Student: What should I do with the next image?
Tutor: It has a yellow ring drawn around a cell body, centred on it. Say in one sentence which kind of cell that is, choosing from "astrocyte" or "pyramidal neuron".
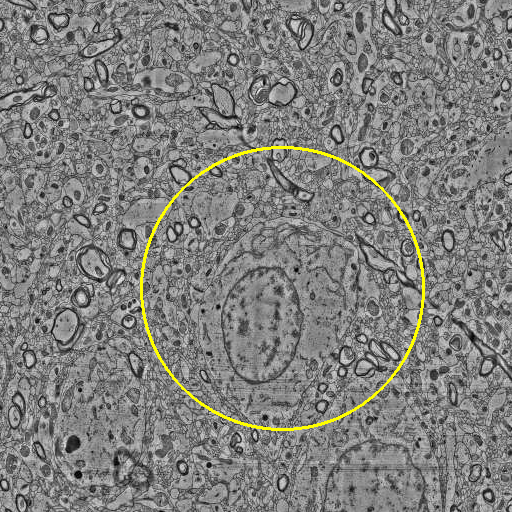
The ring's centre is occupied by a pyramidal neuron.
